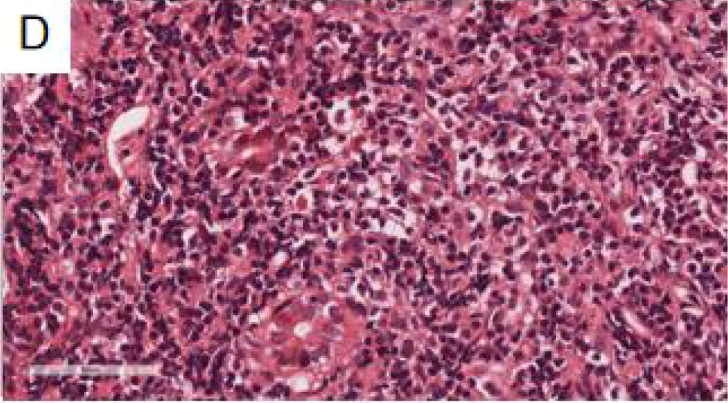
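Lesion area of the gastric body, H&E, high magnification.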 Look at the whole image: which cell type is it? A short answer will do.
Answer: Small lymphocyte-like cells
